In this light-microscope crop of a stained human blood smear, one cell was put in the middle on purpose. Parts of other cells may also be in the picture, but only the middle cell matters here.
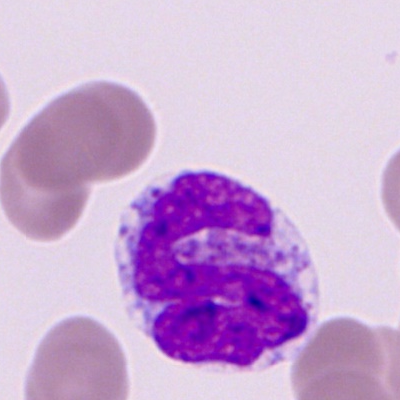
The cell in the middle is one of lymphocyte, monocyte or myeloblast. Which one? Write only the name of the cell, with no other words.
monocyte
